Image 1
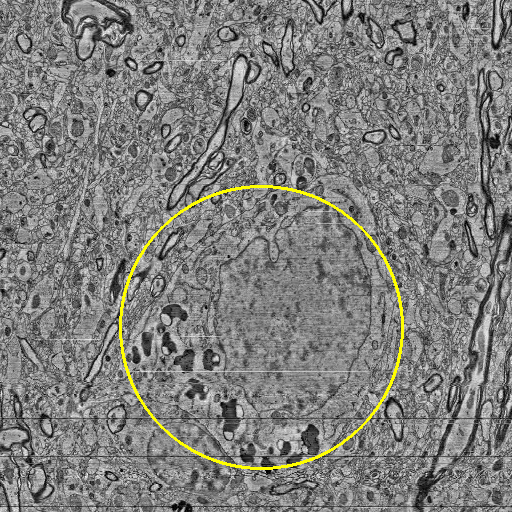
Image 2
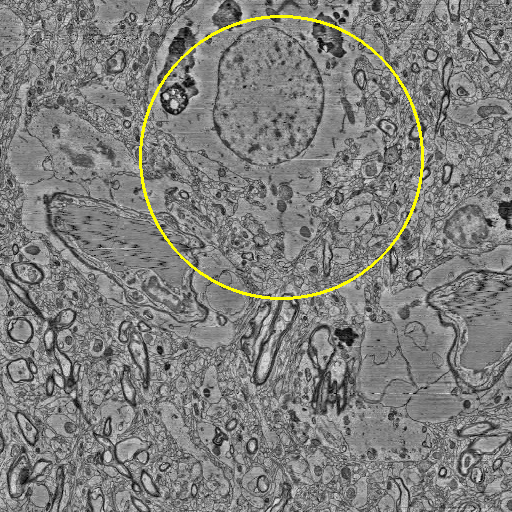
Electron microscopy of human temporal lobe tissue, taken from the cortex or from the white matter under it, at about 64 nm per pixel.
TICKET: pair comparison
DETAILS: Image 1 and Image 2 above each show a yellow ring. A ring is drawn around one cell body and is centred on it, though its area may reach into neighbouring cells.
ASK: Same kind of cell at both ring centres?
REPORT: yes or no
no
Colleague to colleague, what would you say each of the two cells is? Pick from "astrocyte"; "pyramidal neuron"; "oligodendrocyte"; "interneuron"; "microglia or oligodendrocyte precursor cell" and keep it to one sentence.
The cell in the first picture is an interneuron; the second picture's cell is an astrocyte.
